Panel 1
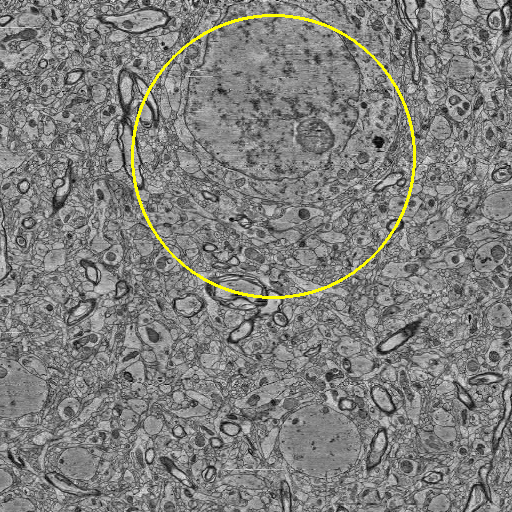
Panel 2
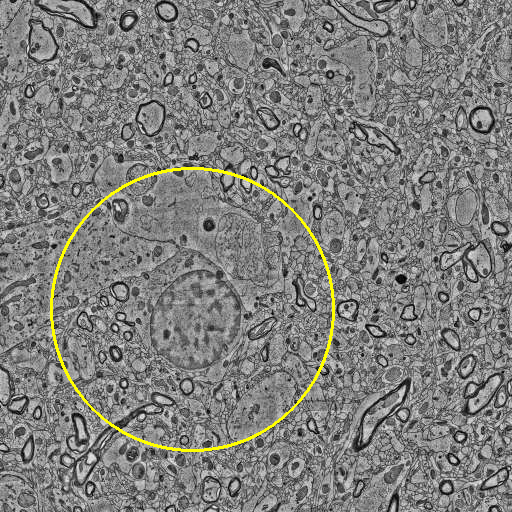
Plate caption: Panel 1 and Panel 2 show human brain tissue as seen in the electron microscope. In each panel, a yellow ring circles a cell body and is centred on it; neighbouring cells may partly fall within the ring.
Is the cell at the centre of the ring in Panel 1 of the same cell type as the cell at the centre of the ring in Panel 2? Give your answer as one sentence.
No, the two cells are of two types.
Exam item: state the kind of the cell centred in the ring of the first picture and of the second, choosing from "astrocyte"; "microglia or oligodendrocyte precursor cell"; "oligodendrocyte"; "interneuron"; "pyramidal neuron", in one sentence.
The first picture shows a pyramidal neuron at the ring centre and the second shows an oligodendrocyte.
